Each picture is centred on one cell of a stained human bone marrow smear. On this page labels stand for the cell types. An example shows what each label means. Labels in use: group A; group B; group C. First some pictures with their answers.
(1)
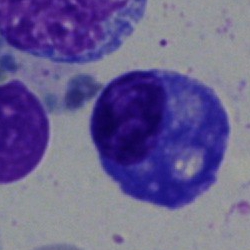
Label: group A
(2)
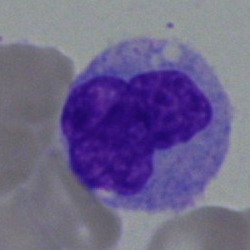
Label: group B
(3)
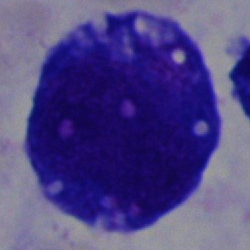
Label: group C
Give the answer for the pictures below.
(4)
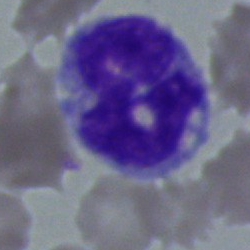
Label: group B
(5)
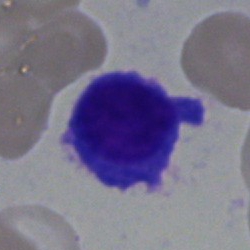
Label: group A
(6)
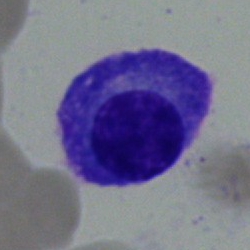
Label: group A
